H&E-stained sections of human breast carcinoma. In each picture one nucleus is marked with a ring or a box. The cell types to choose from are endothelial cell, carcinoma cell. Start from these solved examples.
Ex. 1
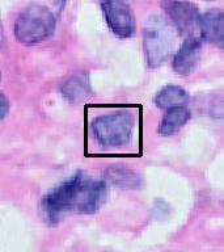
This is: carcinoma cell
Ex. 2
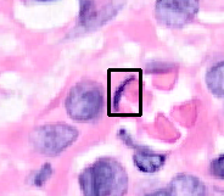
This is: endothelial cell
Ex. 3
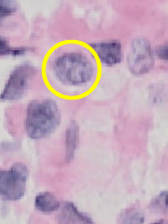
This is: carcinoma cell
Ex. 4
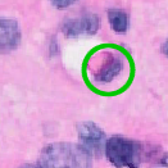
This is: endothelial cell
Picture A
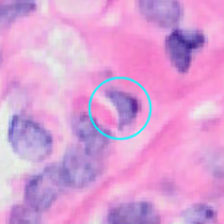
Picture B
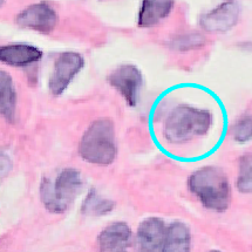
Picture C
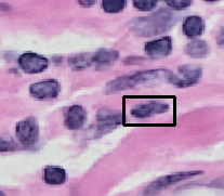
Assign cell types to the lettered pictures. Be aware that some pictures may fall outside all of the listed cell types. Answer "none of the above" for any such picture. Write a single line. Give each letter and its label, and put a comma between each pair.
A endothelial cell, B carcinoma cell, C none of the above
